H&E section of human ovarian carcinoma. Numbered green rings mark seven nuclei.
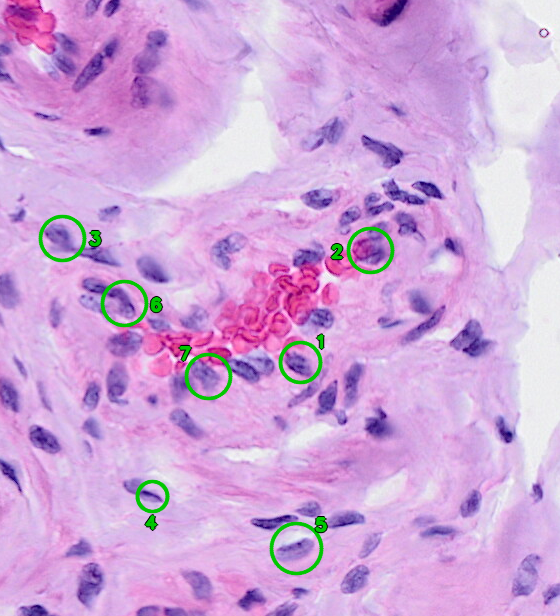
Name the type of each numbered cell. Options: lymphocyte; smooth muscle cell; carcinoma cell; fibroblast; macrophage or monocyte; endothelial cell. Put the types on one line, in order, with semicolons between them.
endothelial cell; endothelial cell; fibroblast; fibroblast; fibroblast; endothelial cell; endothelial cell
